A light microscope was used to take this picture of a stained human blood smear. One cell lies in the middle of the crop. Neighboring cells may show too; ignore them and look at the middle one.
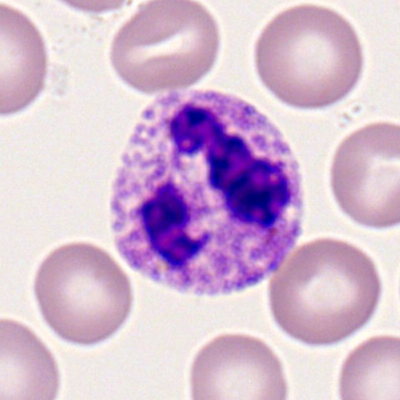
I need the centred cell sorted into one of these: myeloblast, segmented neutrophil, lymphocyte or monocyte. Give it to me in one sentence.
At the crop's centre, the cell is a segmented neutrophil.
